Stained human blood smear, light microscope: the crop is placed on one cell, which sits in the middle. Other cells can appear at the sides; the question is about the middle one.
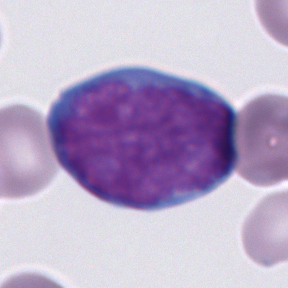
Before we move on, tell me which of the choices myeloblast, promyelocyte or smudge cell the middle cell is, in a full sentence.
Whatever else lies nearby, the middle cell is a myeloblast.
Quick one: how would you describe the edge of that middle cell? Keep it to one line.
Smooth all around, the outline has no projections to report.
